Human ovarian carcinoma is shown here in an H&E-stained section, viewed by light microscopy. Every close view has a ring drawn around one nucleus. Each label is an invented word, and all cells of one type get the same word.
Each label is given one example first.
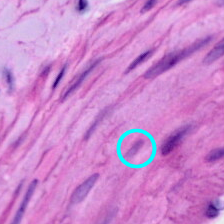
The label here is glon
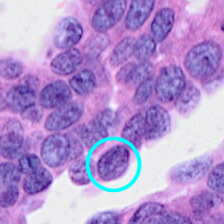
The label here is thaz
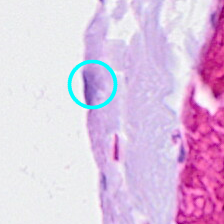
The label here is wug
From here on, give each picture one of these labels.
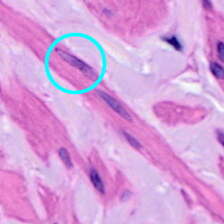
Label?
glon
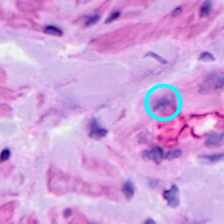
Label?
wug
